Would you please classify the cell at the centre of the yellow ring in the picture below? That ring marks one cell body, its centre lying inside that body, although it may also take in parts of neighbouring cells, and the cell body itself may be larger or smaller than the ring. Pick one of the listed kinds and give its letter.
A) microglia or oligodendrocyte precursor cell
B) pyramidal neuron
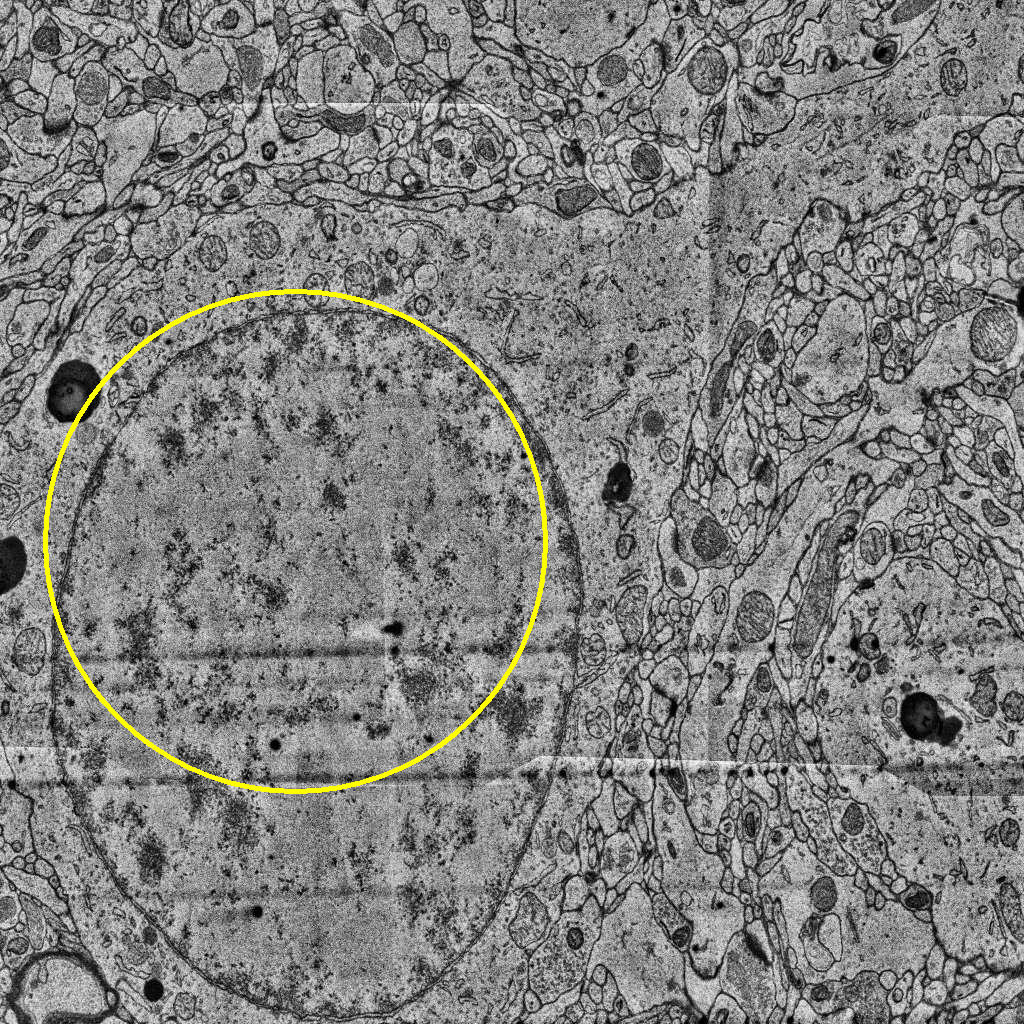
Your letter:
B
